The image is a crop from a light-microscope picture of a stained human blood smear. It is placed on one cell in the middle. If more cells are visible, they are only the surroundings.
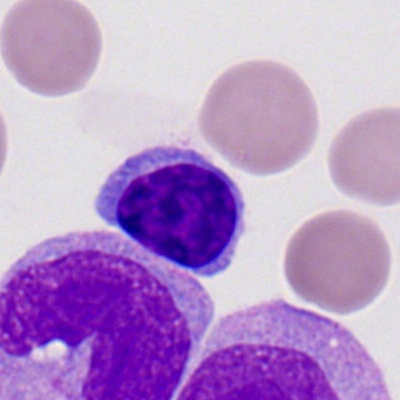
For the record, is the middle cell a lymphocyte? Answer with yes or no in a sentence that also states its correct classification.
Yes, what sits in the centre of the crop is a lymphocyte.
